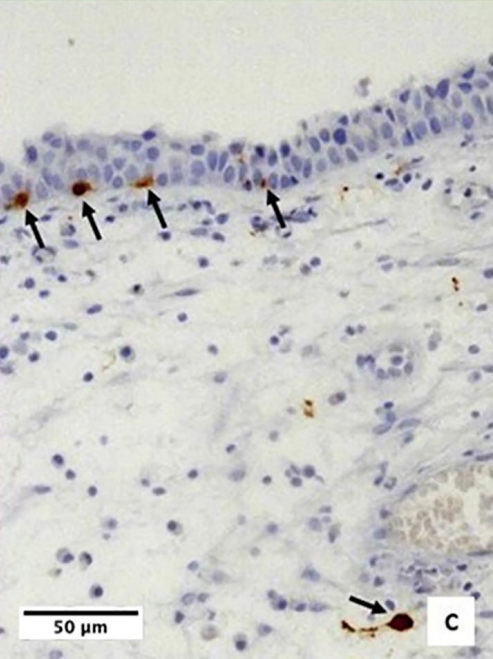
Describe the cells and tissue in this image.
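A mucosa with a tall, many-layered epithelium of crowded blue-nucleated cells over a loose, pale, sparsely cellular stroma with a vessel holding red cells. A few rounded cells stained brown lie along the base of the epithelium, and one more lies deep in the stroma.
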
